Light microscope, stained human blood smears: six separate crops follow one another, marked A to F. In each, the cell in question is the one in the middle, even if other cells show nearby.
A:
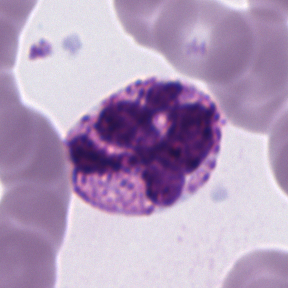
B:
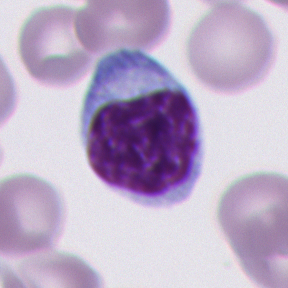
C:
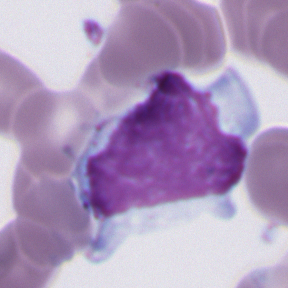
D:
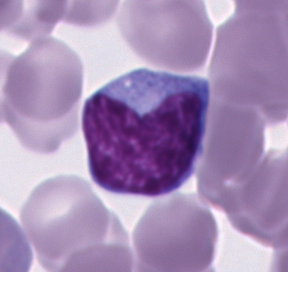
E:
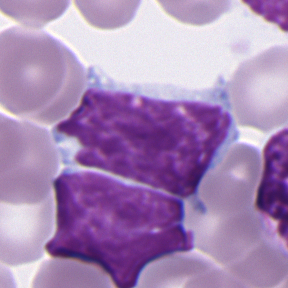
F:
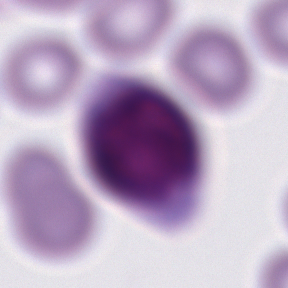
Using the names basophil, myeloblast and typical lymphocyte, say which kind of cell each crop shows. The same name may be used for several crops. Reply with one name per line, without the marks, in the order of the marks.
basophil
typical lymphocyte
typical lymphocyte
typical lymphocyte
typical lymphocyte
myeloblast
